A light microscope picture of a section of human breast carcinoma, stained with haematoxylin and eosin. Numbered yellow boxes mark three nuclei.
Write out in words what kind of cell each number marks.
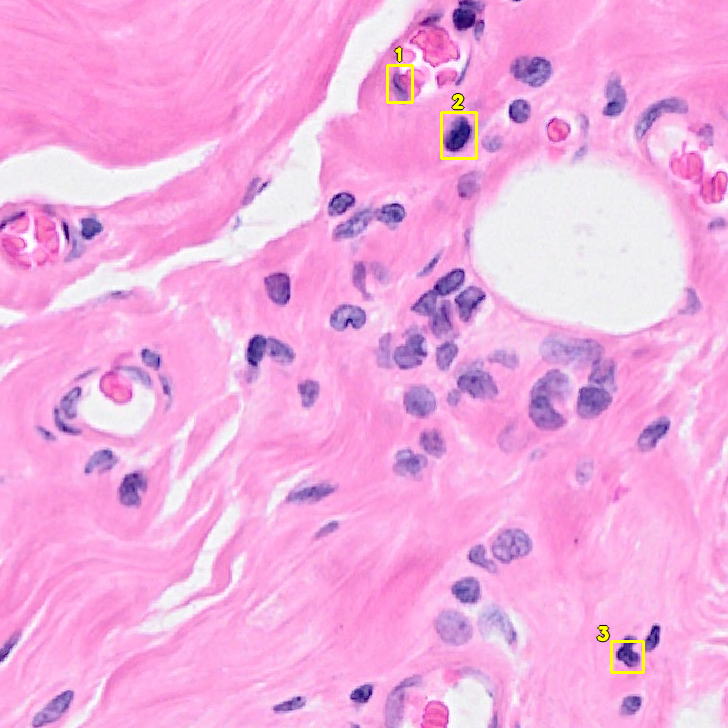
Cell 1 is an endothelial cell. Cells 2 and 3 are lymphocytes.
